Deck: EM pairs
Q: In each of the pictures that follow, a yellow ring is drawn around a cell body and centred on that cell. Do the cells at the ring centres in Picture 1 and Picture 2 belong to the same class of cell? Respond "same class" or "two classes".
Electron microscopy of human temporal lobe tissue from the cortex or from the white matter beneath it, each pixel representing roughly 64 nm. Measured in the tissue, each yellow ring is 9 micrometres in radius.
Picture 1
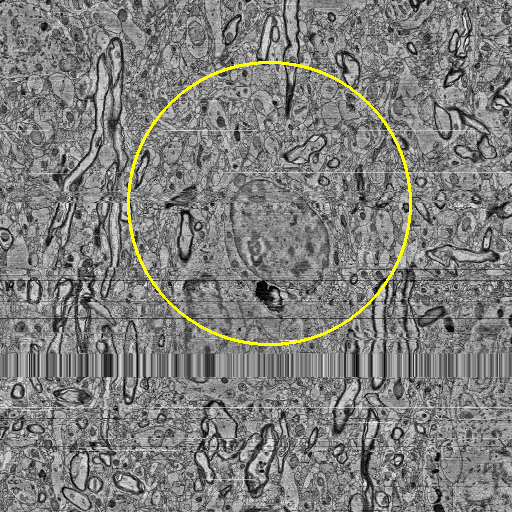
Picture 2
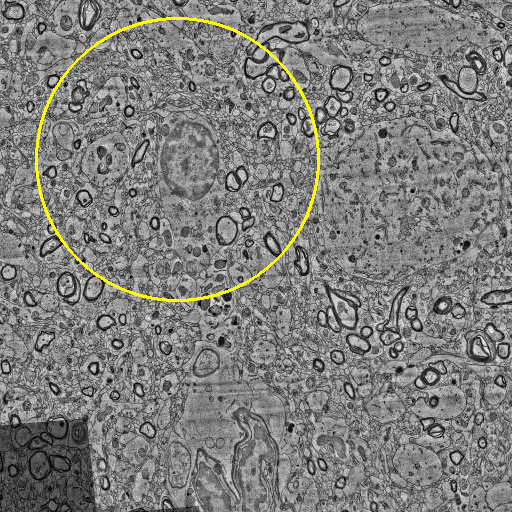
same class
